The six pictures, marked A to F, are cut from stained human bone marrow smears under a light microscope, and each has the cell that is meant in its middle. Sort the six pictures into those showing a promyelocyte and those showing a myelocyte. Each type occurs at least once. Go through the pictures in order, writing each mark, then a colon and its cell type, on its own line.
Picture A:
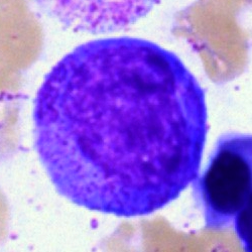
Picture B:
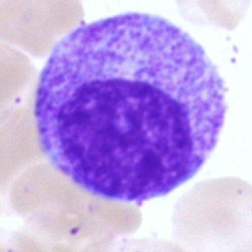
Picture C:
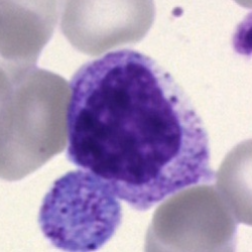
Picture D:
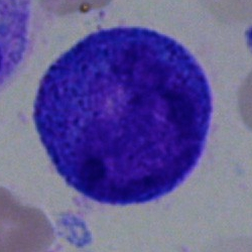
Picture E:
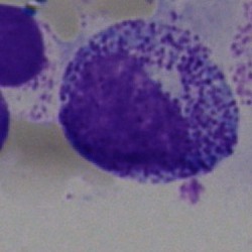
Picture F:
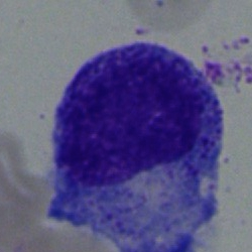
A: promyelocyte
B: myelocyte
C: myelocyte
D: promyelocyte
E: myelocyte
F: promyelocyte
